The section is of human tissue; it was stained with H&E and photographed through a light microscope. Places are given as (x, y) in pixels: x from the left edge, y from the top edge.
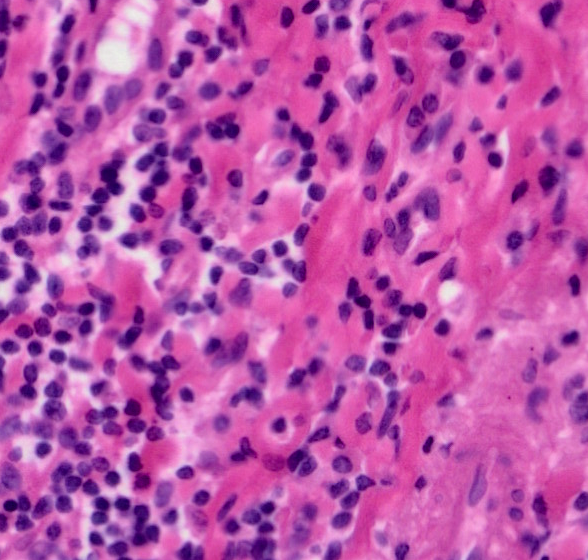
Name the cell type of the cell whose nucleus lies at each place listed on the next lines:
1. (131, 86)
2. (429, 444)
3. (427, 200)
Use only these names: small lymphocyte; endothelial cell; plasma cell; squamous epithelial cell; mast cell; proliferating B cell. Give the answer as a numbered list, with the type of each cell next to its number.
1. endothelial cell
2. mast cell
3. endothelial cell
